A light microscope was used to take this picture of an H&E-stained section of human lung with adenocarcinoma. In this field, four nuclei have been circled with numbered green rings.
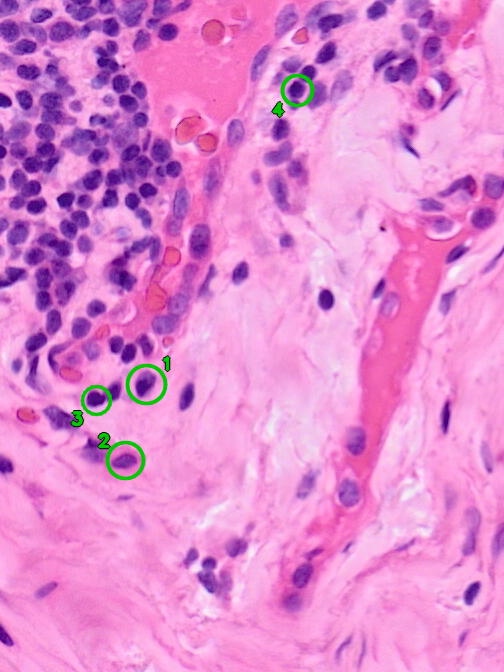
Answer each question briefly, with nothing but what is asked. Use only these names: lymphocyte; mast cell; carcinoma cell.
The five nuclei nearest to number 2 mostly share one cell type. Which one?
lymphocyte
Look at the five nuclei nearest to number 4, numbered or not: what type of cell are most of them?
lymphocyte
